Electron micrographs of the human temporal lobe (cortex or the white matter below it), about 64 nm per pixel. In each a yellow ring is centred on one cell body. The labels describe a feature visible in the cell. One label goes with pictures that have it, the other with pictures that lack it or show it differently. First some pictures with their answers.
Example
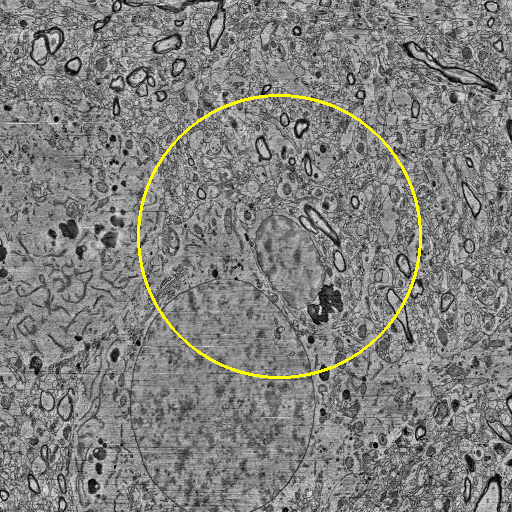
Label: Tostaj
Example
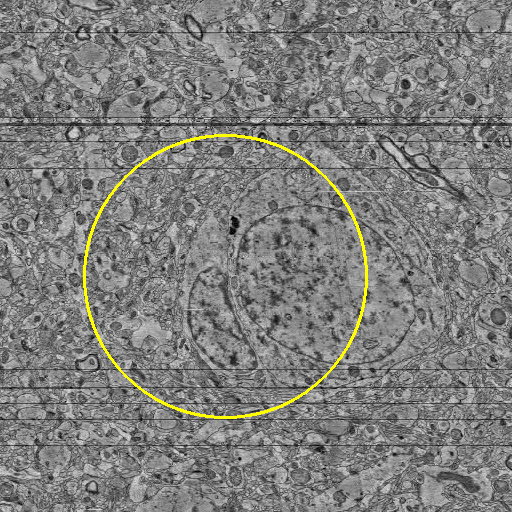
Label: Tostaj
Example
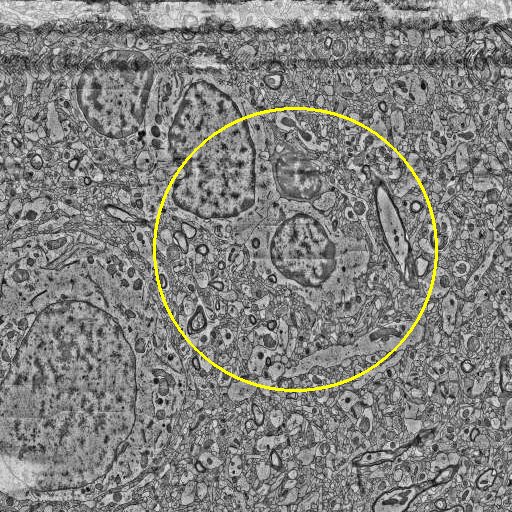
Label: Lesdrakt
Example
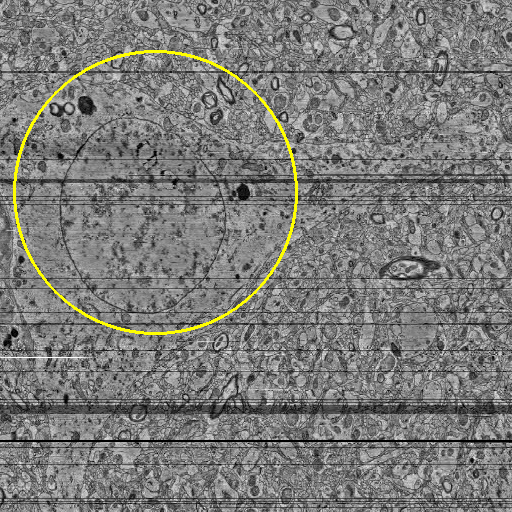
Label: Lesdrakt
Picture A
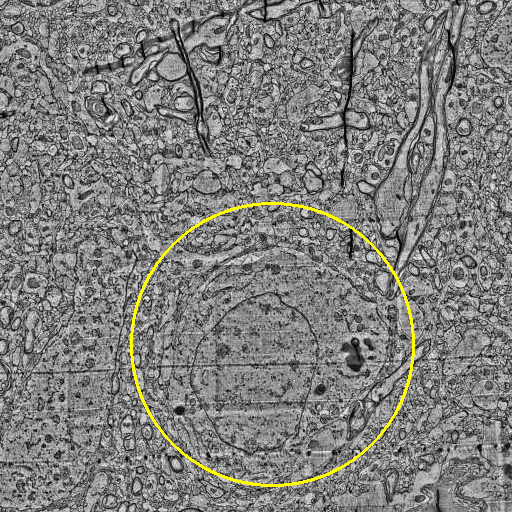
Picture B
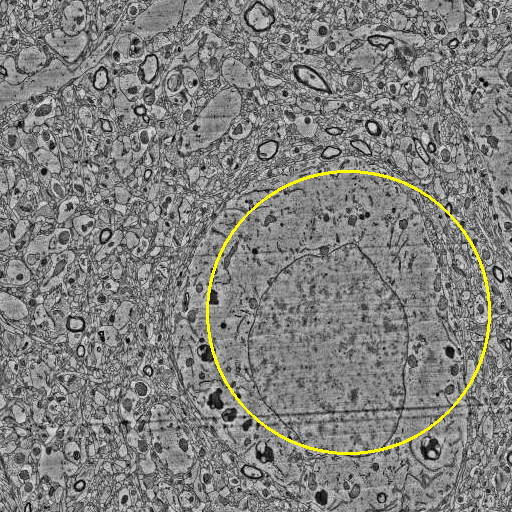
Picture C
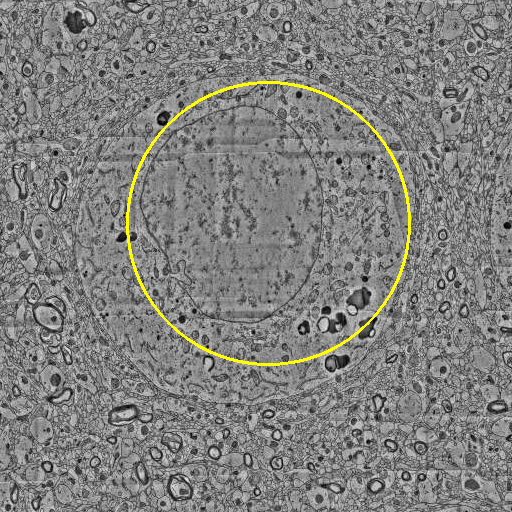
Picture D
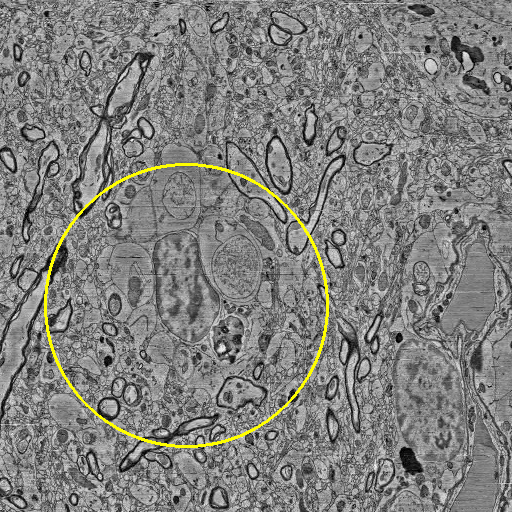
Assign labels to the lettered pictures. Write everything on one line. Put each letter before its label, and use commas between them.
A Lesdrakt, B Tostaj, C Lesdrakt, D Tostaj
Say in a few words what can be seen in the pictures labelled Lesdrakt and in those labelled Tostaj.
In Lesdrakt: round or nearly round nuclei. In Tostaj: clearly elongated nuclei.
